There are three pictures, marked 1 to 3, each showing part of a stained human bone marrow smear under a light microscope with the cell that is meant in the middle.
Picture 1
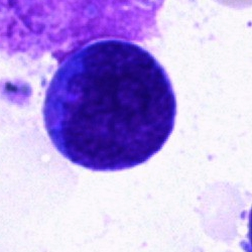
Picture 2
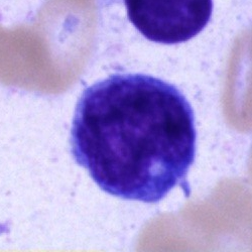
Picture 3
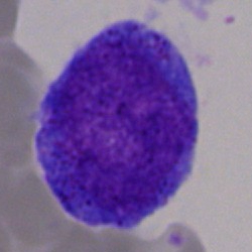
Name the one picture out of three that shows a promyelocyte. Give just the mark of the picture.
3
